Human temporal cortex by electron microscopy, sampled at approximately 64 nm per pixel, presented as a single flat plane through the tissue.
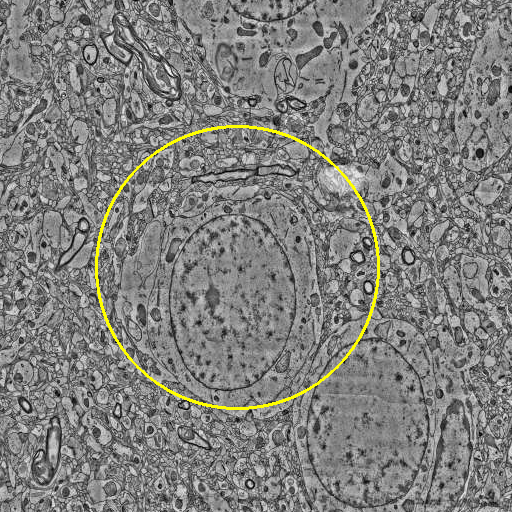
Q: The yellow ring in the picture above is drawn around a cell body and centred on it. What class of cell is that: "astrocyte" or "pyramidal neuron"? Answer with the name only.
pyramidal neuron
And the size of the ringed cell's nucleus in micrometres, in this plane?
In this plane, the nucleus of the cell at the centre of the ring measures about 11 by 8 micrometres.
